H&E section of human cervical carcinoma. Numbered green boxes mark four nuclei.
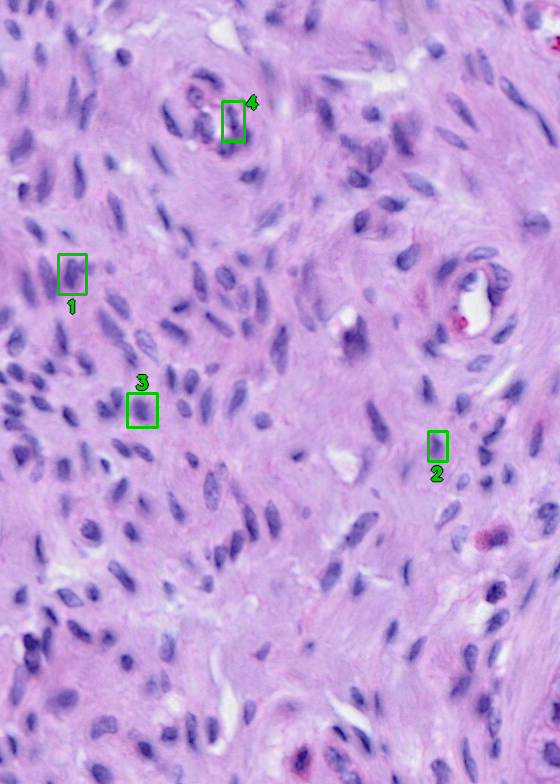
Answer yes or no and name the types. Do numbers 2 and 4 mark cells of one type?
No, the correct reading has cell 2 as a fibroblast and cell 4 as an endothelial cell.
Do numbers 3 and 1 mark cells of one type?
Yes, cells 3 and 1 both qualify as fibroblasts.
